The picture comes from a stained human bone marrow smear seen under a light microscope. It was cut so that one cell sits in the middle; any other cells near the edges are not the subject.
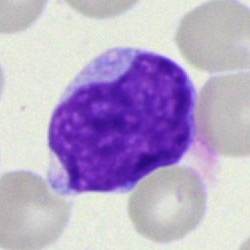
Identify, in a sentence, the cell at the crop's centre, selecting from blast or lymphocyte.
In the crop, the cell of interest at the centre is a blast.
